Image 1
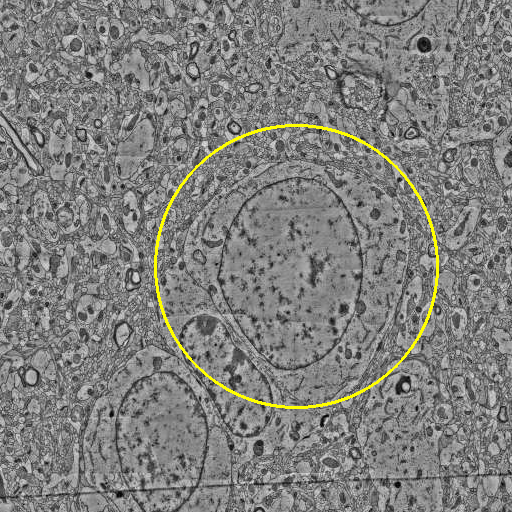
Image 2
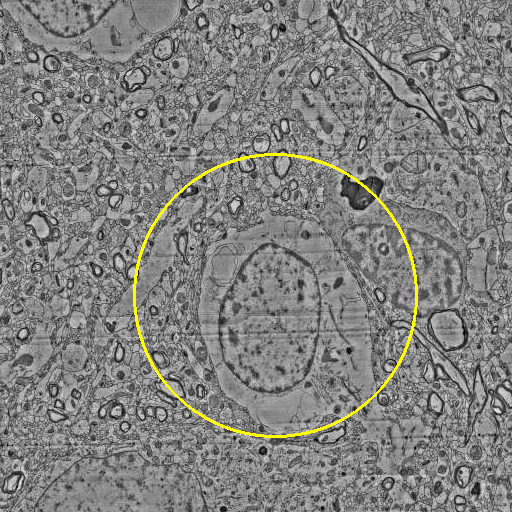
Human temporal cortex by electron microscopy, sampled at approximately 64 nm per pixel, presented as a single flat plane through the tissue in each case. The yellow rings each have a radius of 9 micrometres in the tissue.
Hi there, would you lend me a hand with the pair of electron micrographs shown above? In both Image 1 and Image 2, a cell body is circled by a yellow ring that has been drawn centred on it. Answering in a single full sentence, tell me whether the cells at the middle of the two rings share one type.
No, the ringed cells in Image 1 and Image 2 belong to two types.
